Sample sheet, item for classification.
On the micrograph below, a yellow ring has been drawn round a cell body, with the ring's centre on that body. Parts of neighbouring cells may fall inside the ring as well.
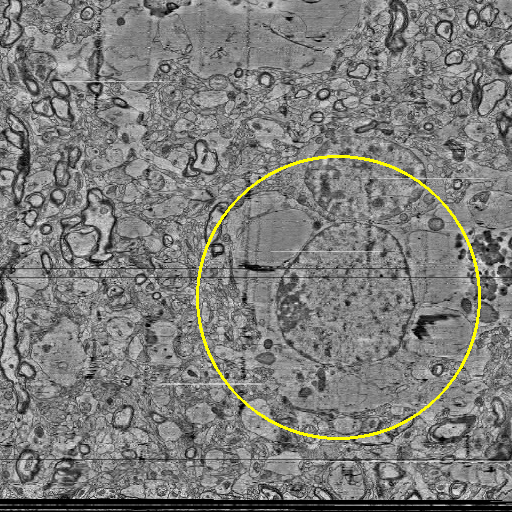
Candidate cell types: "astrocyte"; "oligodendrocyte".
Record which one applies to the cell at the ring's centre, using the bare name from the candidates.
astrocyte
